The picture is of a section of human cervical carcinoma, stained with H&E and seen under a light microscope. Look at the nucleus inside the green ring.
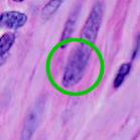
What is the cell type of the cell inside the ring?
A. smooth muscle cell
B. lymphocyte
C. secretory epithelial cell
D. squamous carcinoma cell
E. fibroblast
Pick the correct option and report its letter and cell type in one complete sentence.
The choice that fits is option A, as the cell inside the ring is a smooth muscle cell.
